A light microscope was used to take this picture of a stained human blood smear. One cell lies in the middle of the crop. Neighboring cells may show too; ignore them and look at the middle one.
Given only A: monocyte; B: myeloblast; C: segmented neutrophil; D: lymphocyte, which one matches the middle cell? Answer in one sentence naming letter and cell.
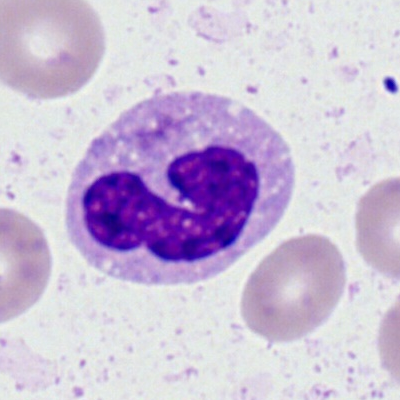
It is a segmented neutrophil that occupies the centre of the crop, so option C is correct.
